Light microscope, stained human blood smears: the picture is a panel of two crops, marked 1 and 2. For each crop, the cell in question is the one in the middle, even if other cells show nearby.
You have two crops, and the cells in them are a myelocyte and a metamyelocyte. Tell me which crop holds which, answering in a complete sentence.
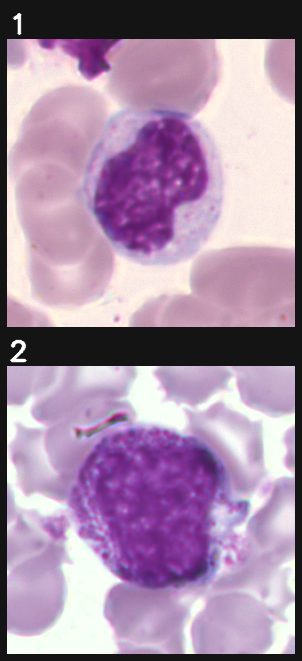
Whereas crop 1 contains a metamyelocyte, crop 2 contains a myelocyte.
